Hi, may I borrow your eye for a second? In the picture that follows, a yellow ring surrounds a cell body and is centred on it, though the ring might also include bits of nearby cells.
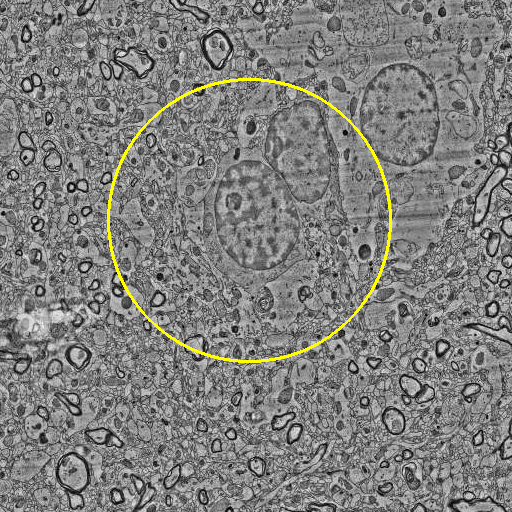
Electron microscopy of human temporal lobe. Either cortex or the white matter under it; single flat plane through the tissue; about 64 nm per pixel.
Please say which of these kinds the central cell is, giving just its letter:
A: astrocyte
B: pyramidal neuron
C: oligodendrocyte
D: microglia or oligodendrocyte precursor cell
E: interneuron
C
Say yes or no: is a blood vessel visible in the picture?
Yes, one appears.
